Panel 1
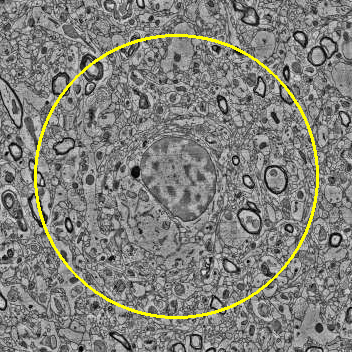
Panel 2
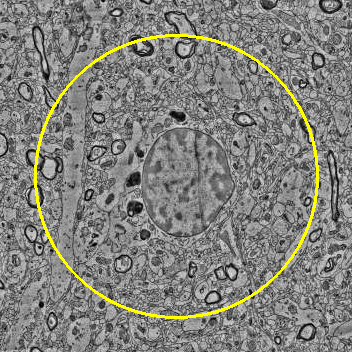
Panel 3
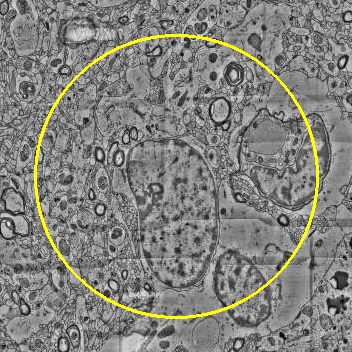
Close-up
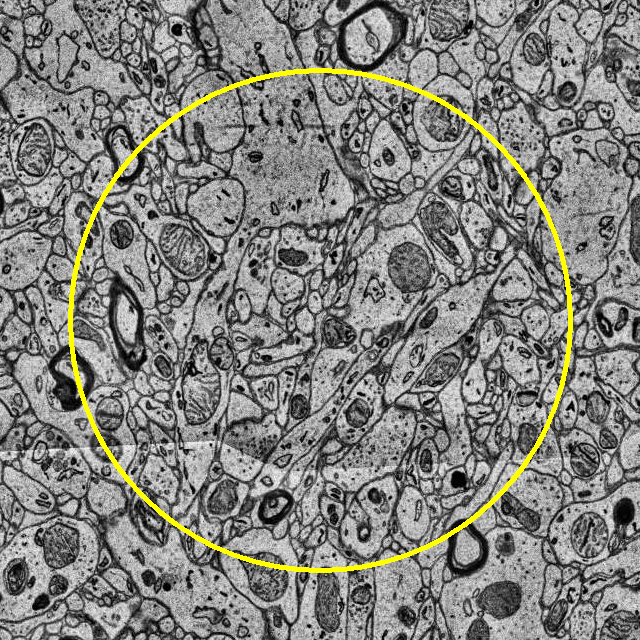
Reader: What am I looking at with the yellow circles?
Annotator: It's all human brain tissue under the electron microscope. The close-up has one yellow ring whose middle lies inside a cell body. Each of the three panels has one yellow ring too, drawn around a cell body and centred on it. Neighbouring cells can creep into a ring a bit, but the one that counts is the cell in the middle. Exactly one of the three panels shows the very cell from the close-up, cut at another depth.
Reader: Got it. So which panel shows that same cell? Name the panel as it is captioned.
Panel 2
